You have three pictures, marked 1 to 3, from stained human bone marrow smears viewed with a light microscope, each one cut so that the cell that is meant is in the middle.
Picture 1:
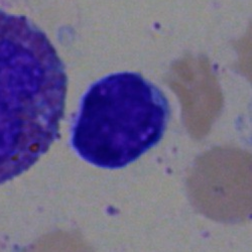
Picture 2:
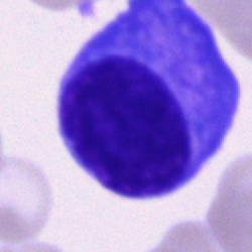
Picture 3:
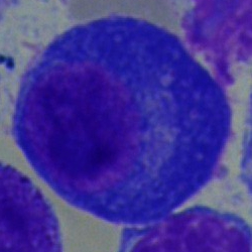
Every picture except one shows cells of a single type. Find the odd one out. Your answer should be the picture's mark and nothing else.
1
